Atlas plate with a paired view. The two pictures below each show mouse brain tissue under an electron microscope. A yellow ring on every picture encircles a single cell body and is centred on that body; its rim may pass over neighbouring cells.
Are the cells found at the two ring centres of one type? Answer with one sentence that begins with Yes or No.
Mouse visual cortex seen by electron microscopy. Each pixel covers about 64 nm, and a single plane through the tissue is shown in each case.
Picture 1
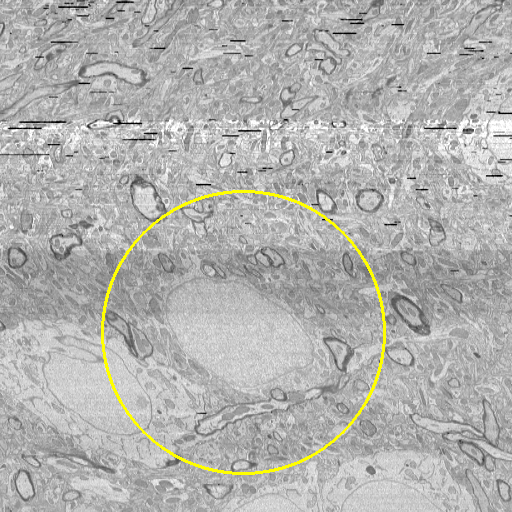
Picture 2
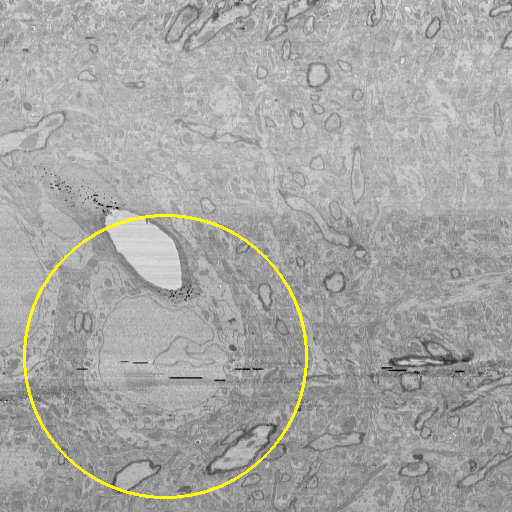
No, the two cells lying at the centres of the rings are of two types.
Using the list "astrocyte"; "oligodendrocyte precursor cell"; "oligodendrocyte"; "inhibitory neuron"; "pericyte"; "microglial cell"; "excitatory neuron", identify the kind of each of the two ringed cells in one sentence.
The first is an astrocyte and the second is an excitatory neuron.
